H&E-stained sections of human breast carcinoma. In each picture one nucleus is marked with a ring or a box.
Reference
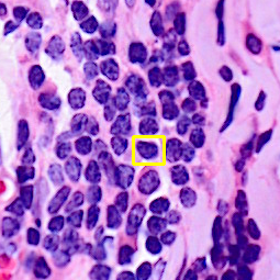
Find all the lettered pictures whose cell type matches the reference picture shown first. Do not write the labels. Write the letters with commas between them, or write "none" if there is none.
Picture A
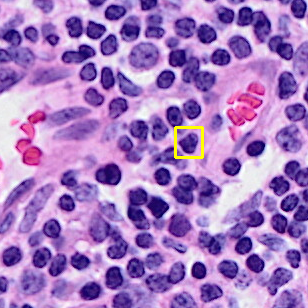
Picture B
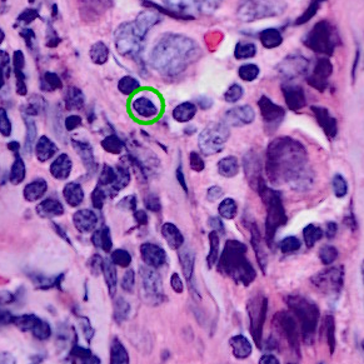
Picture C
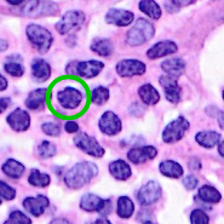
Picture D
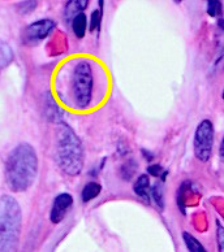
A, B, C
